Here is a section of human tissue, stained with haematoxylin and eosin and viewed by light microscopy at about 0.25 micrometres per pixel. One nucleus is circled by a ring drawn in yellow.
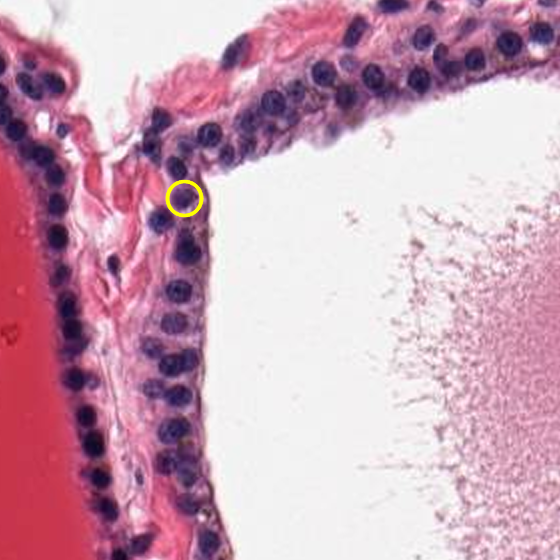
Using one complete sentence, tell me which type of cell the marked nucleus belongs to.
It is to a thyroid follicular cell that the marked nucleus belongs.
